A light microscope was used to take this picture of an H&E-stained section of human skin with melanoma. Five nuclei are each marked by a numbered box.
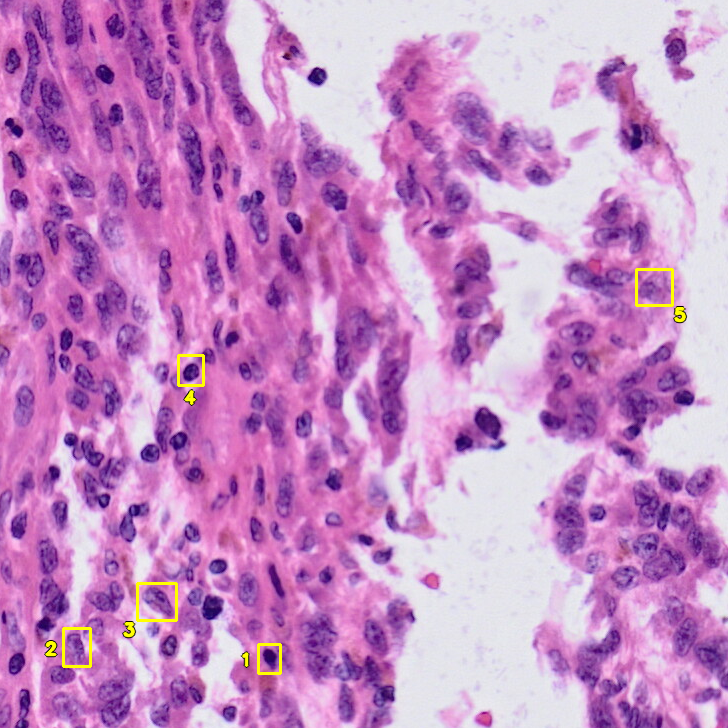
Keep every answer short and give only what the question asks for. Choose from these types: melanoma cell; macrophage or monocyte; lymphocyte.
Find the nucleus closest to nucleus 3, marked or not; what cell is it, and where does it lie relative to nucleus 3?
a lymphocyte, below nucleus 3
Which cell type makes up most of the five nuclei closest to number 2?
melanoma cell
